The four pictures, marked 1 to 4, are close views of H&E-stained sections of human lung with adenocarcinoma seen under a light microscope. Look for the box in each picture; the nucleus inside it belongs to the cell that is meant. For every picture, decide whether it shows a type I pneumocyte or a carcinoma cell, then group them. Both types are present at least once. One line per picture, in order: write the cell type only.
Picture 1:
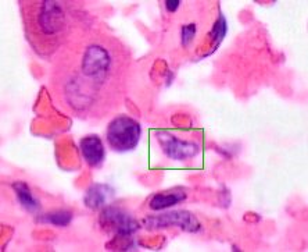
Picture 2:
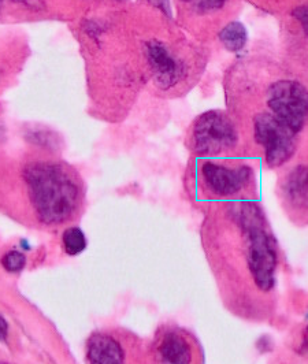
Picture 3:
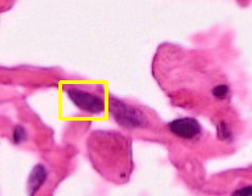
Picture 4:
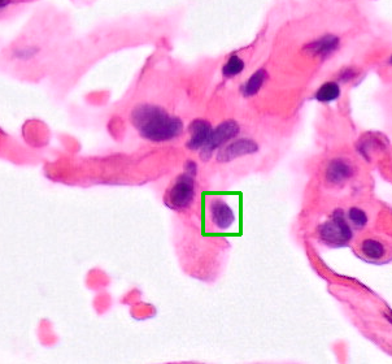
type I pneumocyte
carcinoma cell
type I pneumocyte
type I pneumocyte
